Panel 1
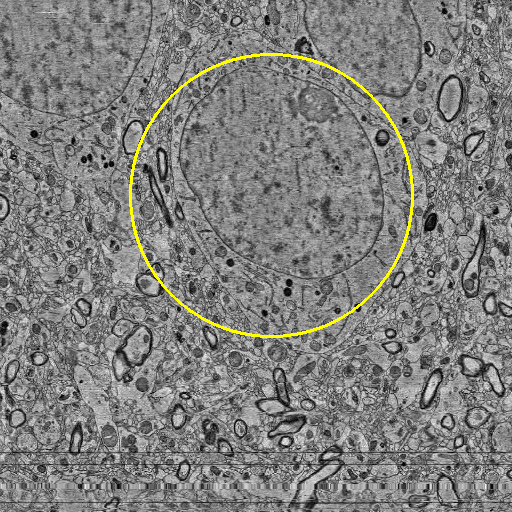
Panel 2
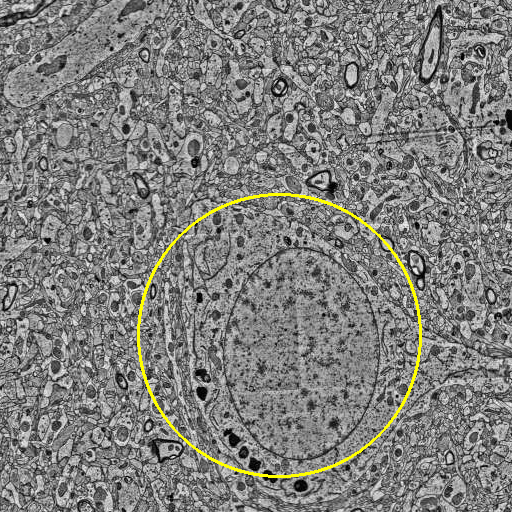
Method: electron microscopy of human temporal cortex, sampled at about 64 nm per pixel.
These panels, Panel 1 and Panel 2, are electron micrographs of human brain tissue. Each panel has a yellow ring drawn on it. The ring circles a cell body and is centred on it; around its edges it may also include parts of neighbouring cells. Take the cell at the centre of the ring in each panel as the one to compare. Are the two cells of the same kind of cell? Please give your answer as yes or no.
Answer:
yes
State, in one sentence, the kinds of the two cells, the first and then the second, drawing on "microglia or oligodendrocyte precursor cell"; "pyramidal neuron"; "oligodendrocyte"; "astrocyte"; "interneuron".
In the first picture and in the second, the ring is centred on a pyramidal neuron.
